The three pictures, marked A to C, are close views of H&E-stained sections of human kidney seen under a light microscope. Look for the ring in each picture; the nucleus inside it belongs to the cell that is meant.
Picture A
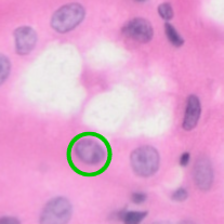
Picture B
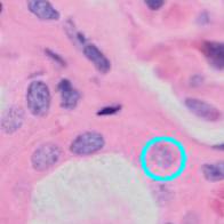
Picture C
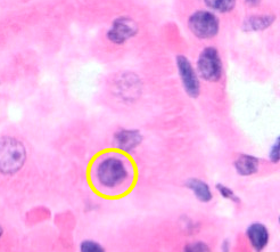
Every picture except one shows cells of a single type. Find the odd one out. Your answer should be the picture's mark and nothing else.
B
